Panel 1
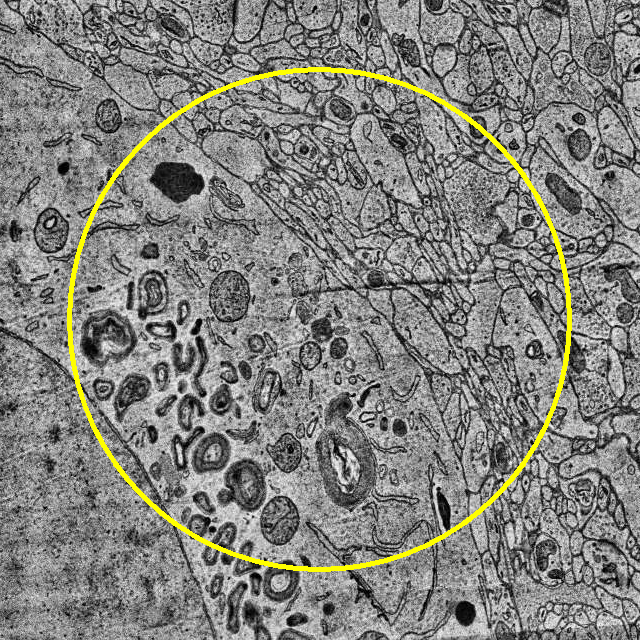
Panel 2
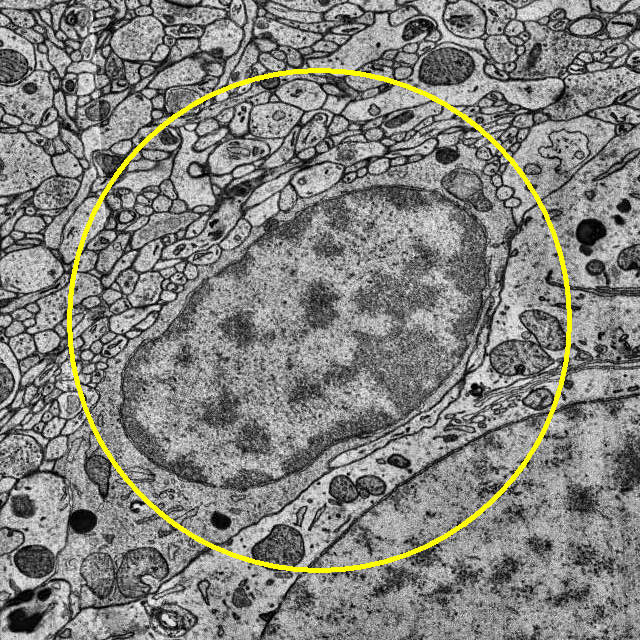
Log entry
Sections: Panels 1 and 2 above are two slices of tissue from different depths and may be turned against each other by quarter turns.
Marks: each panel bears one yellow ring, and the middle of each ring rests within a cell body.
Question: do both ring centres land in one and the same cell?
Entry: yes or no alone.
yes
